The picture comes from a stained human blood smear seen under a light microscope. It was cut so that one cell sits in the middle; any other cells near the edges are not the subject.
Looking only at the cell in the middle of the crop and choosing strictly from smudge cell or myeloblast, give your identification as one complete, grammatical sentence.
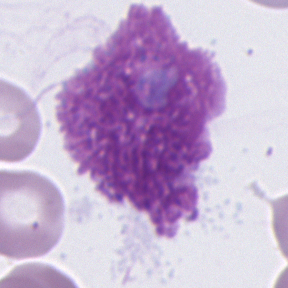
Where the crop is centred, there is a smudge cell.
